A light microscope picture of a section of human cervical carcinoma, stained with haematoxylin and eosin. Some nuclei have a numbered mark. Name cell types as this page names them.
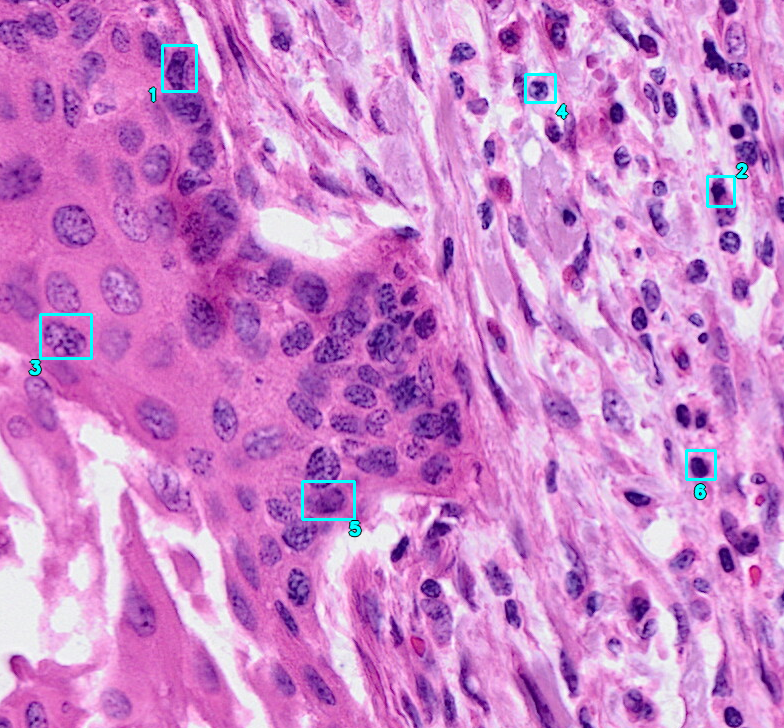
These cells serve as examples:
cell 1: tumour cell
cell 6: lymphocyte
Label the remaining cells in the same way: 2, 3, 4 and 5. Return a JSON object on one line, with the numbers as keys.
{"2": "lymphocyte", "3": "tumour cell", "4": "lymphocyte", "5": "tumour cell"}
